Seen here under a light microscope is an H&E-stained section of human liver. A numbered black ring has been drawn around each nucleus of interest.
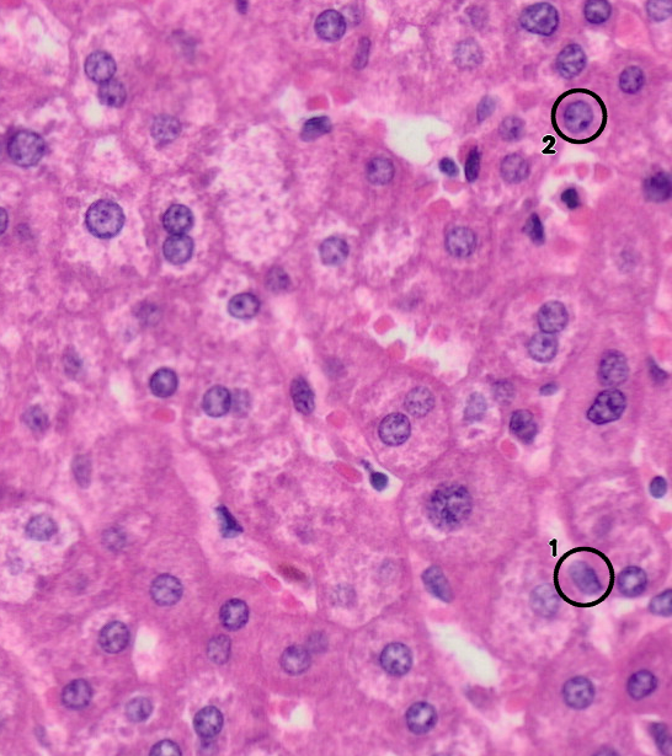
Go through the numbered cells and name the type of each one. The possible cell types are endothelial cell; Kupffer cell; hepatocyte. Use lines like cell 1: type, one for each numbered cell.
cell 1: endothelial cell
cell 2: hepatocyte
